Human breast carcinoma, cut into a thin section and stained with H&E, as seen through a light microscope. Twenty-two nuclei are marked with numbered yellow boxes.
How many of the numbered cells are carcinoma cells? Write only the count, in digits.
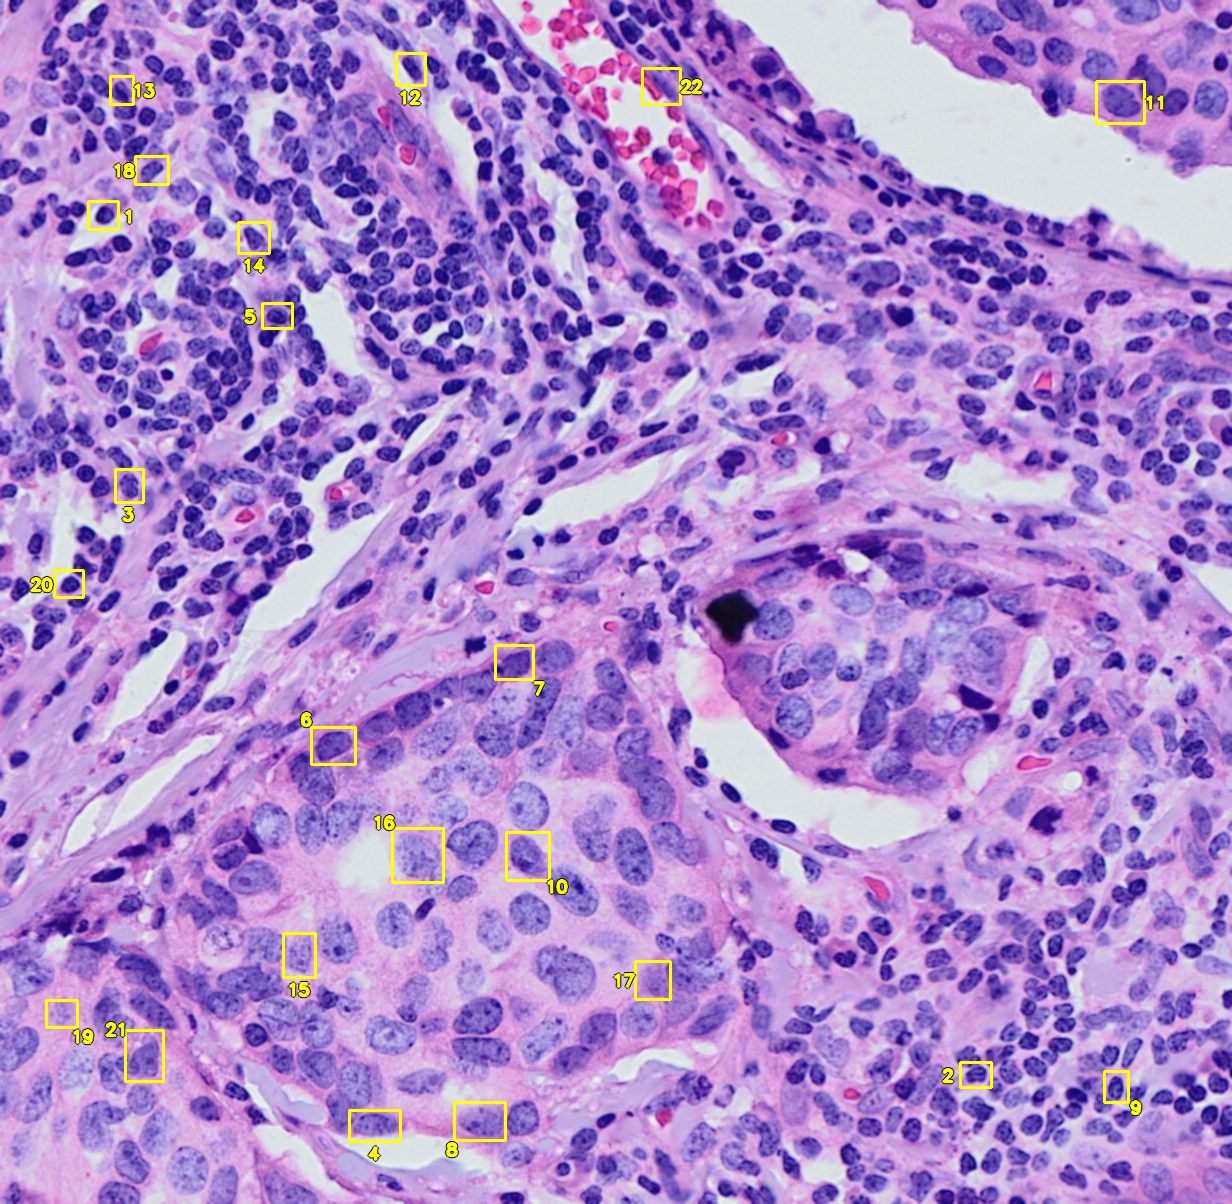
11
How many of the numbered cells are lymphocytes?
10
